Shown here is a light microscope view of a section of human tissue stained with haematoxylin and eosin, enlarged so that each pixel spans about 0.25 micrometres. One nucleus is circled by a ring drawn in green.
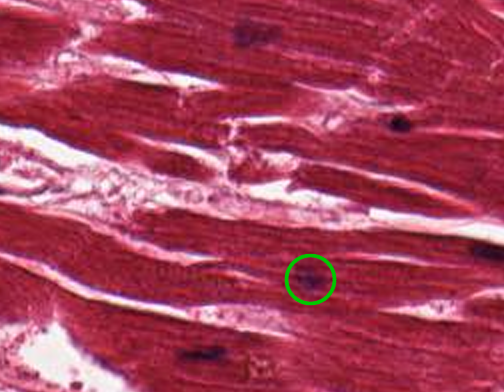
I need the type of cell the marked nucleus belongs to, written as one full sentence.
To a cardiomyocyte belongs the marked nucleus.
